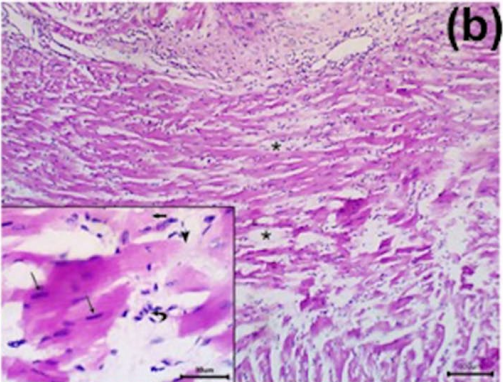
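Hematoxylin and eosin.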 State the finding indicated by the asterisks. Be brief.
Separation of cardiac fibers with increased interstitial spaces between them.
